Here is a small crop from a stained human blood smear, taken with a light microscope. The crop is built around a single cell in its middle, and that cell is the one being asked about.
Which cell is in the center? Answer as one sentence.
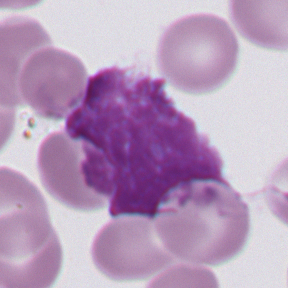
Among the cells in view, the one in the middle is a smudge cell.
